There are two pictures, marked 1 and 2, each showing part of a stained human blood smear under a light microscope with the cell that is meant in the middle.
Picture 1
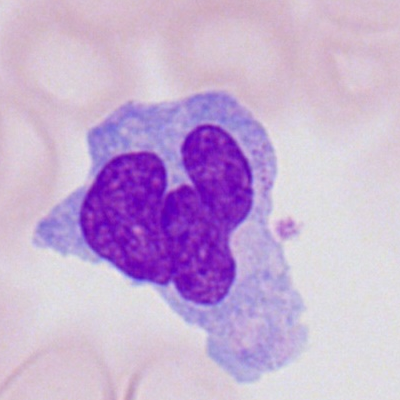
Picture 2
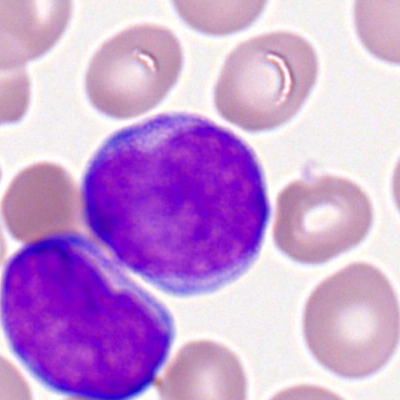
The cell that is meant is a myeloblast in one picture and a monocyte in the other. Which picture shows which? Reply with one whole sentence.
It is picture 1 that shows a monocyte, and picture 2 that shows a myeloblast.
